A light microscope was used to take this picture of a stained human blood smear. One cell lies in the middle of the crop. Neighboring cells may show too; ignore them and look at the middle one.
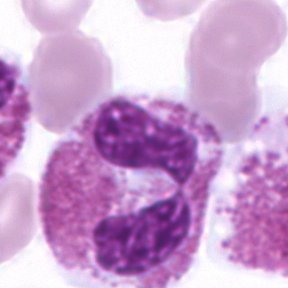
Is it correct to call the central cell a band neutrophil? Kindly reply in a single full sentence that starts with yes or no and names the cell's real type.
No, the cell at the centre of the crop corresponds to an eosinophil, not a band neutrophil.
